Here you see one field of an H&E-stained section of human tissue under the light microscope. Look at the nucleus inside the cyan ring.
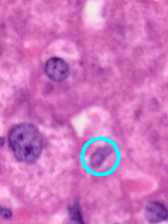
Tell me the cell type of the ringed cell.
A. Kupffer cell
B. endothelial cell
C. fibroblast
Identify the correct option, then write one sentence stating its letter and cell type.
Settle on option A; the ringed cell is a Kupffer cell.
